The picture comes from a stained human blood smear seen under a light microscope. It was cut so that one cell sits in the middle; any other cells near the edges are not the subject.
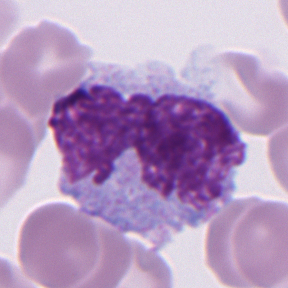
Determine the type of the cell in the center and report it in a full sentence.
What the crop centres on is a monocyte.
